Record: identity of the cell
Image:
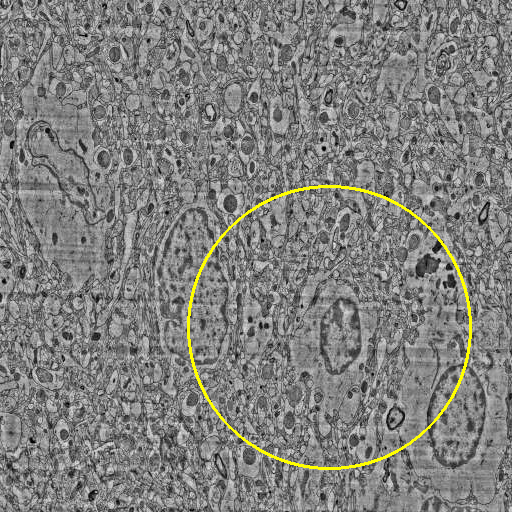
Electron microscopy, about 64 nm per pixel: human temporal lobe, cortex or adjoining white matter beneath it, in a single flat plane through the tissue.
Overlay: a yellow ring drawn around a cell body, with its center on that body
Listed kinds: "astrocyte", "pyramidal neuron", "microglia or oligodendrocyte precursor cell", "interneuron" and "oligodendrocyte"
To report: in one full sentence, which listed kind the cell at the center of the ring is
In the image, the cell body at the ring's center belongs to an astrocyte.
